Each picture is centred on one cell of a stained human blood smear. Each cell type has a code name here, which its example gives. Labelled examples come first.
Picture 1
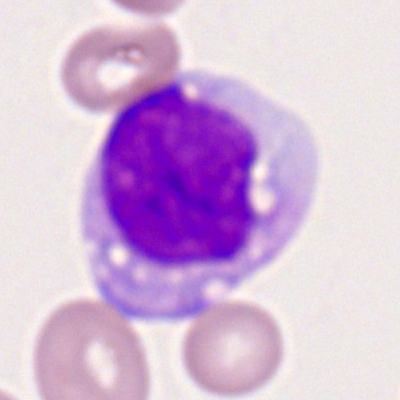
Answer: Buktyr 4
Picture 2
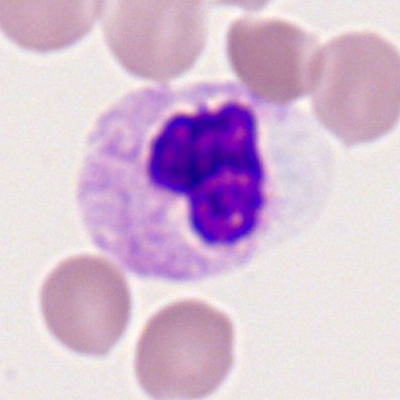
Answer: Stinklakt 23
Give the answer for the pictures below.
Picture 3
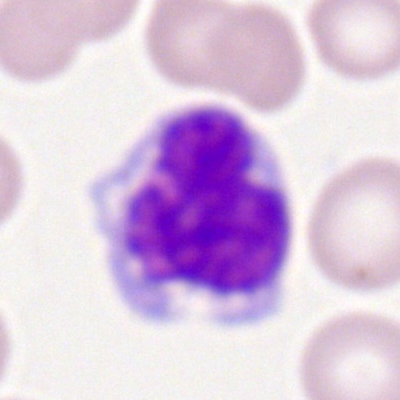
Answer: Buktyr 4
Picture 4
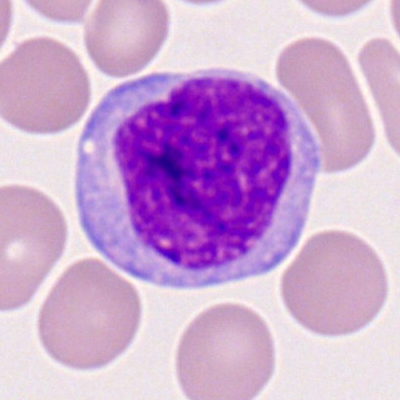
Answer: Buktyr 4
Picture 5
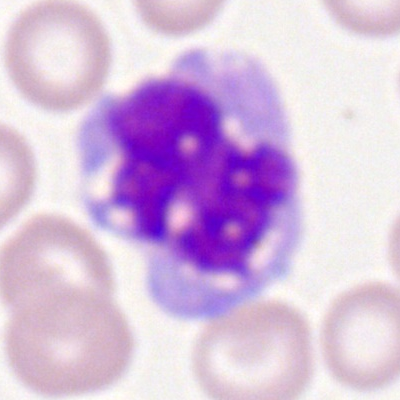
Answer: Buktyr 4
